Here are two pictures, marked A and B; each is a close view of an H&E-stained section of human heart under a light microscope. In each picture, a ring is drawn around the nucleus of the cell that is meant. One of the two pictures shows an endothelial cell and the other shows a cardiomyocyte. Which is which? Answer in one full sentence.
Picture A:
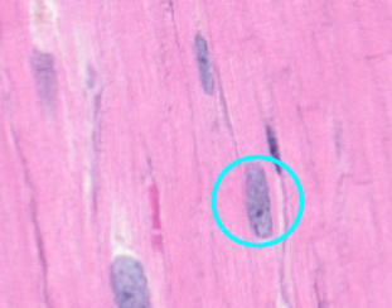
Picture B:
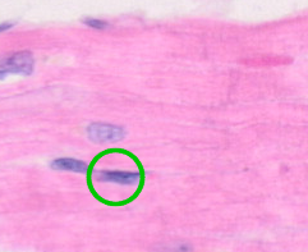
It is picture A that shows a cardiomyocyte, and picture B that shows an endothelial cell.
